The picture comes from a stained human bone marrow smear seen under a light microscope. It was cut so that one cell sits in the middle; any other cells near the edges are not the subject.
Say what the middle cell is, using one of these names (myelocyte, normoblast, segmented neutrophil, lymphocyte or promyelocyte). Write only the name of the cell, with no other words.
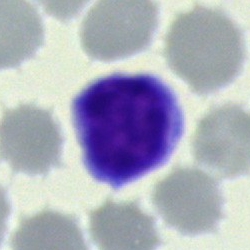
lymphocyte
